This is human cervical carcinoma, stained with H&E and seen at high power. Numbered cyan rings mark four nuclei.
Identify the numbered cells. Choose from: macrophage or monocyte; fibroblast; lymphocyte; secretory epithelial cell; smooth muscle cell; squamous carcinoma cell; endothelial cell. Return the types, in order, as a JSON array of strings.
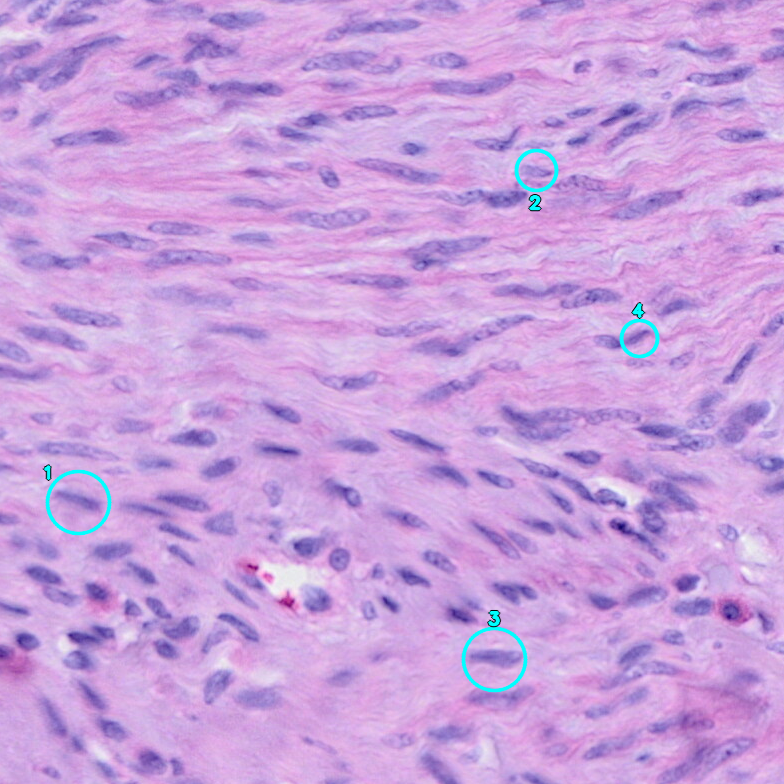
["fibroblast", "smooth muscle cell", "fibroblast", "smooth muscle cell"]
